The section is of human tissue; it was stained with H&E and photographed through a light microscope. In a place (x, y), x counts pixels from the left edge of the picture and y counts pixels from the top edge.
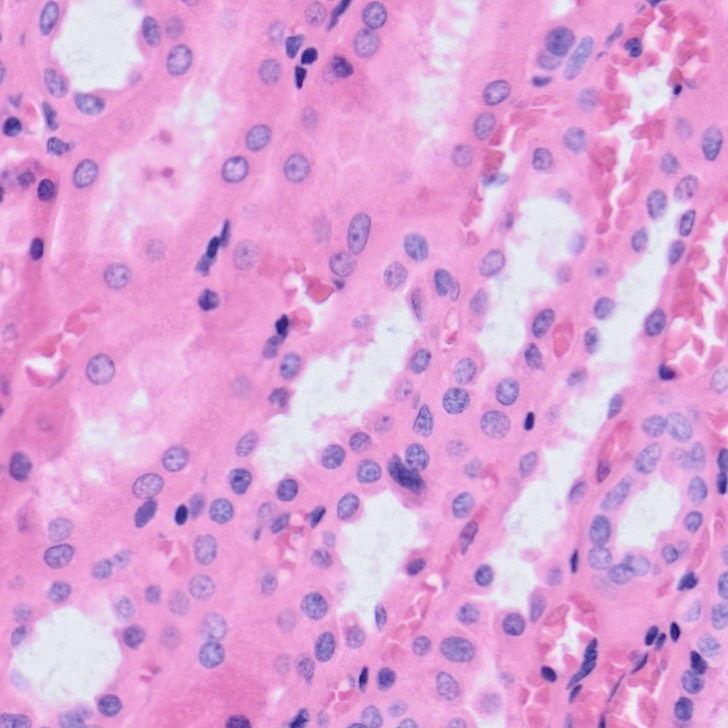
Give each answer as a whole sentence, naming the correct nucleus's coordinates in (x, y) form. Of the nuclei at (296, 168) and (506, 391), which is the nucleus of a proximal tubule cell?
Here the nucleus at (296, 168) is the one that belongs to a proximal tubule cell.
